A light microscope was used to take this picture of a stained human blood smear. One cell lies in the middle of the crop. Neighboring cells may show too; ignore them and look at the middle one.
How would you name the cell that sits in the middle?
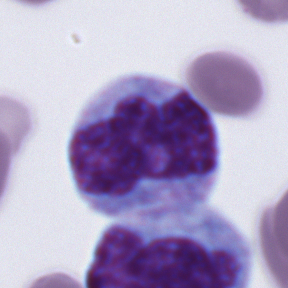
monocyte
